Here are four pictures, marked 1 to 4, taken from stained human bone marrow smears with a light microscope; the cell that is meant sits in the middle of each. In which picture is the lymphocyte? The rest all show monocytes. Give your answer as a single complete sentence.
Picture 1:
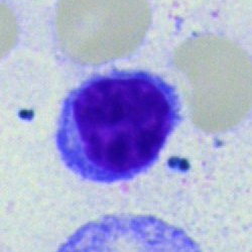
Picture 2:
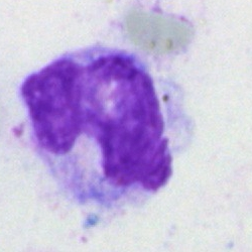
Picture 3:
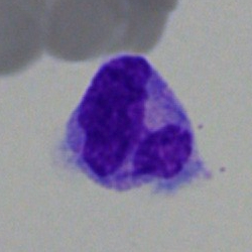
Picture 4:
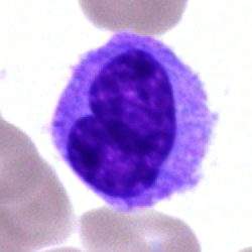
The picture with the lymphocyte is 1.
